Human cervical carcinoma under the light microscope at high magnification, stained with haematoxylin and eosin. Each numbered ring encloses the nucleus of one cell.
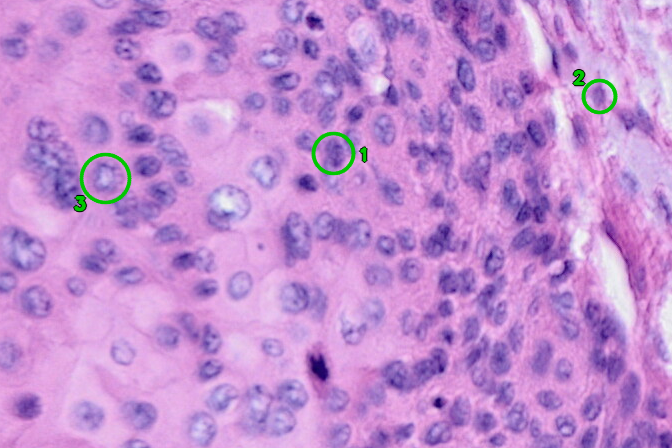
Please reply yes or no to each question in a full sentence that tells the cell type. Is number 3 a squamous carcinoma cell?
Yes, number 3 corresponds to a squamous carcinoma cell.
